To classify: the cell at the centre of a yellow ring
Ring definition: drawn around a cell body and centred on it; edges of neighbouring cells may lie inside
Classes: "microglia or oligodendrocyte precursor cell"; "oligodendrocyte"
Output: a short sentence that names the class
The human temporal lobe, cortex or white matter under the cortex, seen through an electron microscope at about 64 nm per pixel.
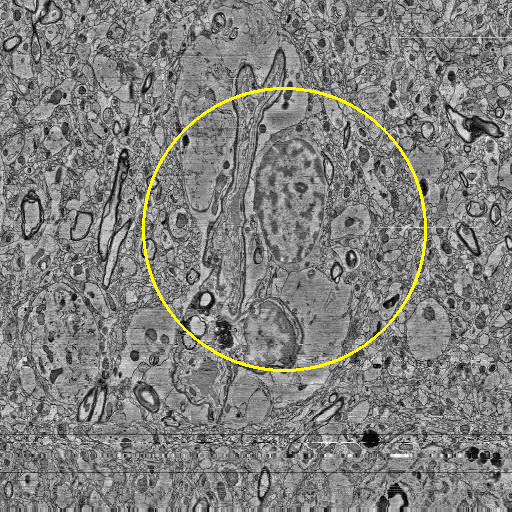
The ringed cell is an oligodendrocyte.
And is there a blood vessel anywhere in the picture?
Yes, a blood vessel shows in the picture.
